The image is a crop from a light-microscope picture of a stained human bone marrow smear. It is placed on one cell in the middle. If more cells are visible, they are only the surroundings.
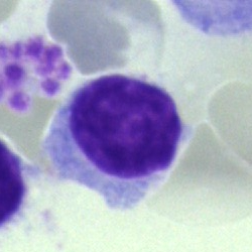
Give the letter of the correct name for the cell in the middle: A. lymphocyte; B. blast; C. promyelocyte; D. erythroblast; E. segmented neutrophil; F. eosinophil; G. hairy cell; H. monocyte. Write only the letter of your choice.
G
